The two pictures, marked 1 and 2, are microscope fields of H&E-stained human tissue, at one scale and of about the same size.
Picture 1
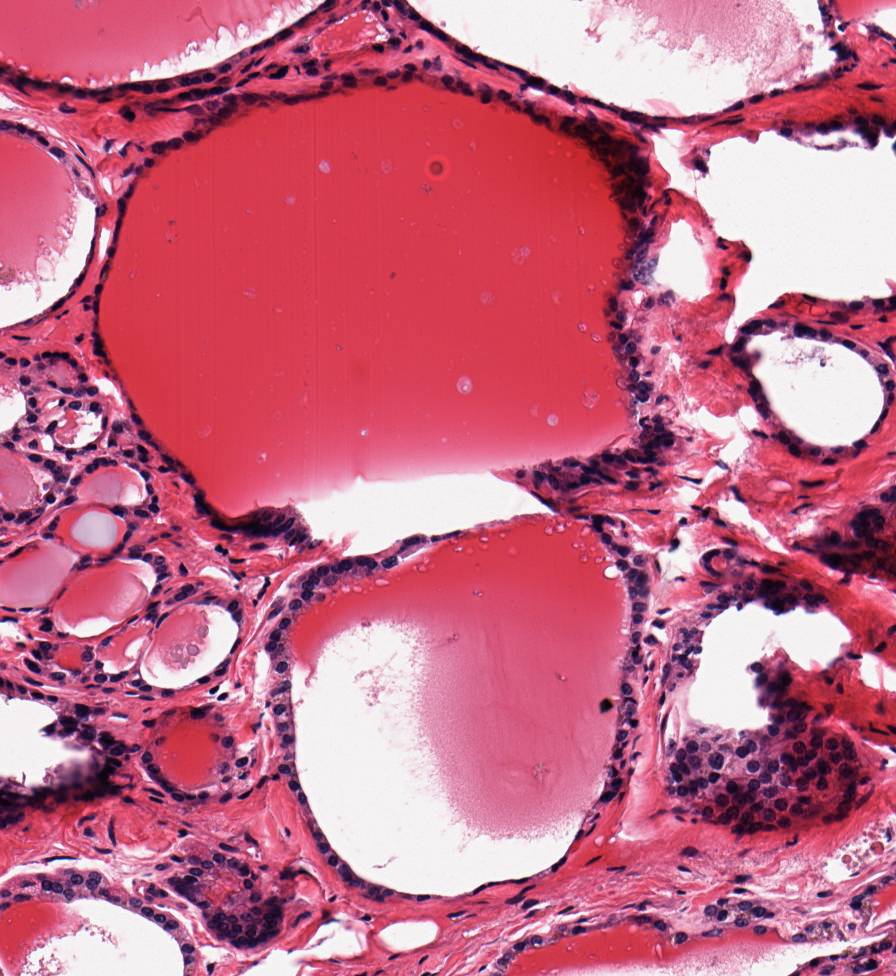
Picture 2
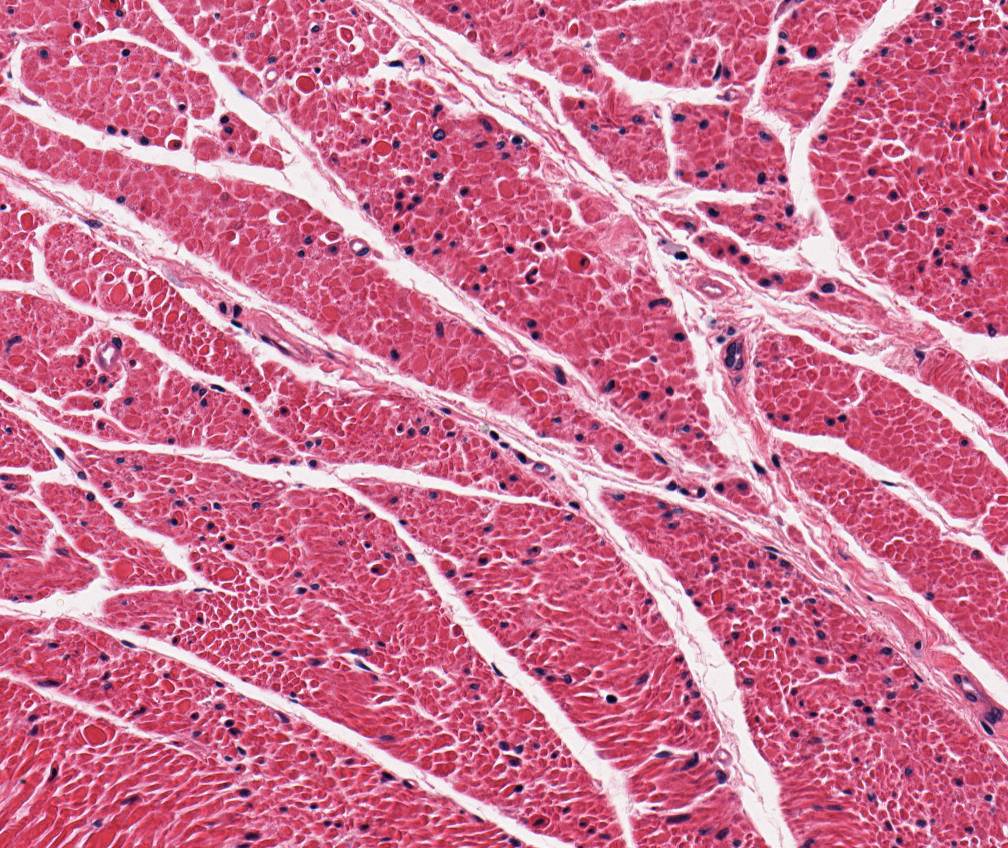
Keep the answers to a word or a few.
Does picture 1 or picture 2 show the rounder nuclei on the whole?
2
